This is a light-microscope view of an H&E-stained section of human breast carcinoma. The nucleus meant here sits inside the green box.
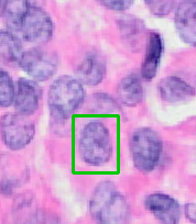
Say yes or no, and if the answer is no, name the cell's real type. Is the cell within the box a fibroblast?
No, it is a carcinoma cell.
